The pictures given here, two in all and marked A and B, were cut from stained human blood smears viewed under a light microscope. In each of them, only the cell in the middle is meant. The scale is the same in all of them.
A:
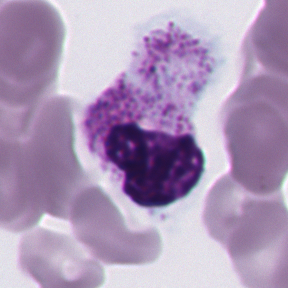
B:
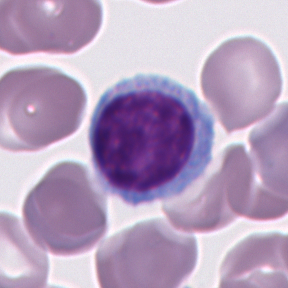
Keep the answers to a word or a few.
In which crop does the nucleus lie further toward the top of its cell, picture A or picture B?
B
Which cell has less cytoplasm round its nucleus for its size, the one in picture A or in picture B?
B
